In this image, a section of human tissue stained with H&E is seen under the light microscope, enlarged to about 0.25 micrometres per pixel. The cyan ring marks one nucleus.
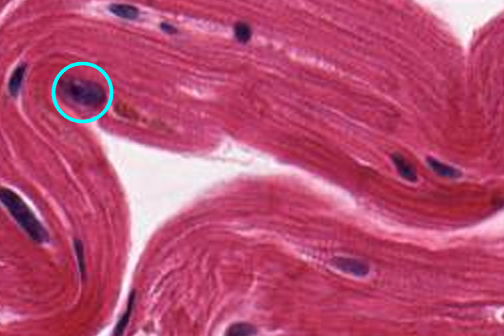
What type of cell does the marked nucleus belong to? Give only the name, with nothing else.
cardiomyocyte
